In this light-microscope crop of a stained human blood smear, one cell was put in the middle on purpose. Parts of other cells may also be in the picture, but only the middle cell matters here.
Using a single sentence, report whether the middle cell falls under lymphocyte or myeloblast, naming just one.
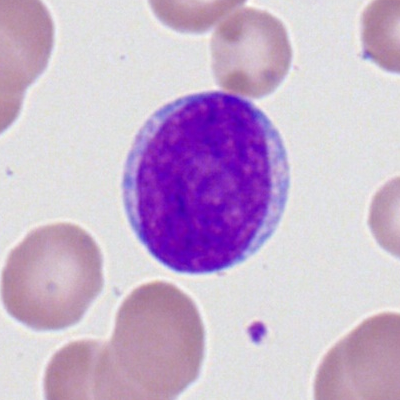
In the crop, the cell of interest at the centre is a myeloblast.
